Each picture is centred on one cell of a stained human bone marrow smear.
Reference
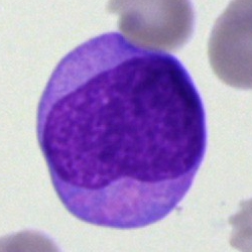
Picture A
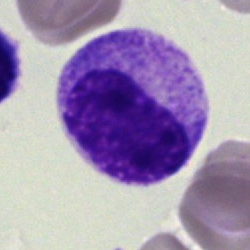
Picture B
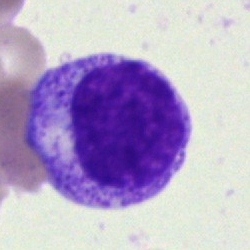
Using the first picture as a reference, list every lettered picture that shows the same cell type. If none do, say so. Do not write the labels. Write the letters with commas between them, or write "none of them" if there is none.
none of them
